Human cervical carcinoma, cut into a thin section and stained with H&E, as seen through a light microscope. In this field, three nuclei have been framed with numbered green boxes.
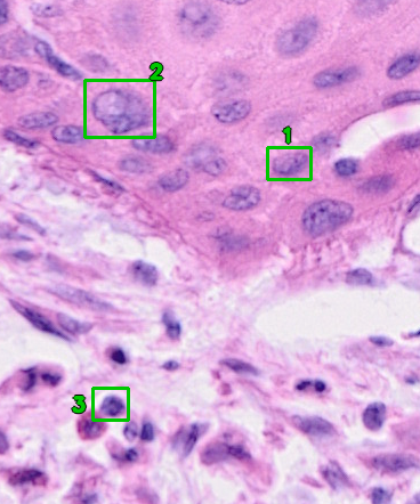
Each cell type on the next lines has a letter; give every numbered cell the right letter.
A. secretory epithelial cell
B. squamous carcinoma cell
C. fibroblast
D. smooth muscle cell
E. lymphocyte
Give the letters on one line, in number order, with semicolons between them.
B; B; E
